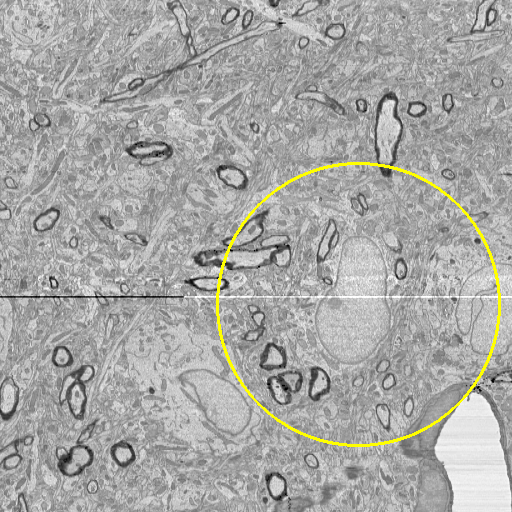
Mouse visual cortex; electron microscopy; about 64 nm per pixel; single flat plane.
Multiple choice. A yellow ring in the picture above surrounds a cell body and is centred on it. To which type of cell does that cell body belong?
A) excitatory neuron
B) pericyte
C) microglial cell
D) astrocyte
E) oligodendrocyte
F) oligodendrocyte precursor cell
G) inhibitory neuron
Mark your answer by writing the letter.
D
